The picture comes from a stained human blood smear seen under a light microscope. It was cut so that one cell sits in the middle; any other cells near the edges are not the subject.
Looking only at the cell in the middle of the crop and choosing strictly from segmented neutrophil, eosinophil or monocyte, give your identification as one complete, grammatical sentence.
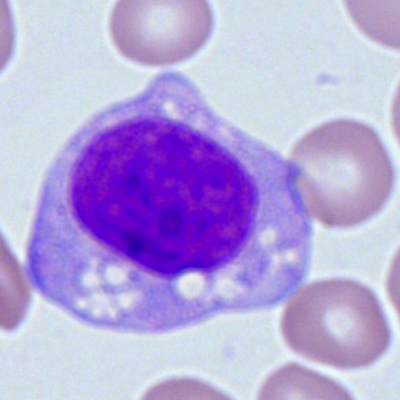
Answering briefly, the cell in the middle is a monocyte.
